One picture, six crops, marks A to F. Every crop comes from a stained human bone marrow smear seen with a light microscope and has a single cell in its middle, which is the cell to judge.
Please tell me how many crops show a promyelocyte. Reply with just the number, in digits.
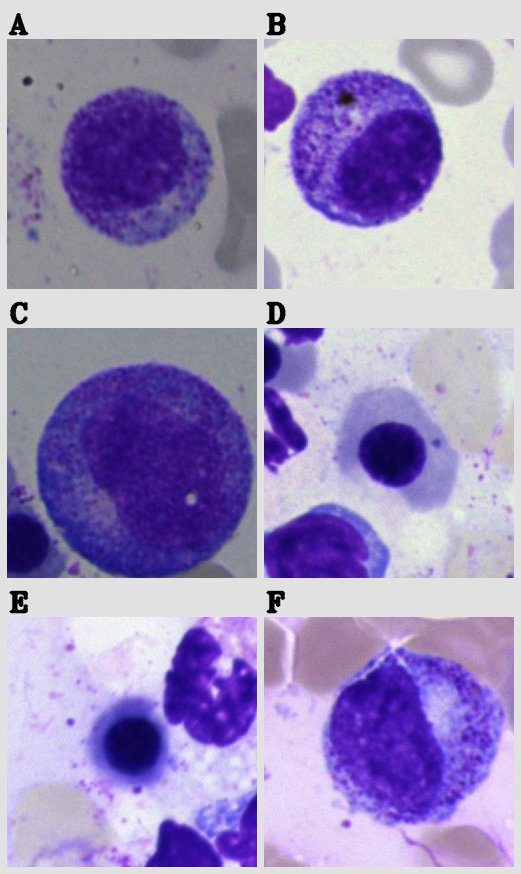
2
